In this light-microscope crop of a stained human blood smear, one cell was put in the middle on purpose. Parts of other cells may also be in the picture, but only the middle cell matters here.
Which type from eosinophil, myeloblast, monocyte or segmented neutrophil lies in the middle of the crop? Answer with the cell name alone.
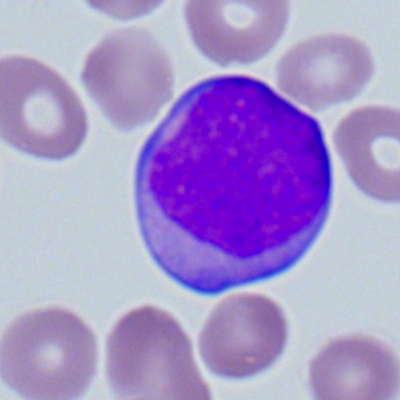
myeloblast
